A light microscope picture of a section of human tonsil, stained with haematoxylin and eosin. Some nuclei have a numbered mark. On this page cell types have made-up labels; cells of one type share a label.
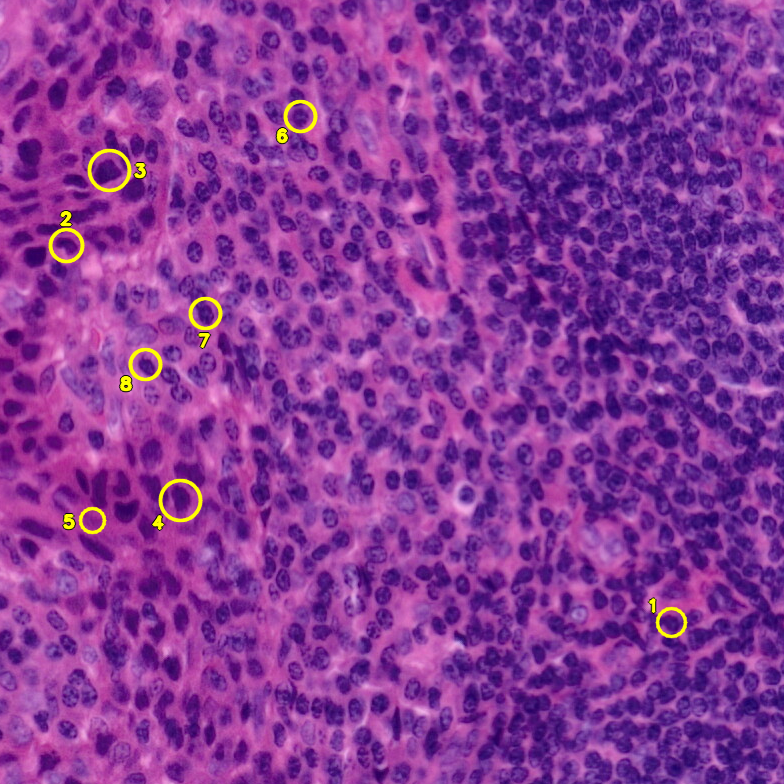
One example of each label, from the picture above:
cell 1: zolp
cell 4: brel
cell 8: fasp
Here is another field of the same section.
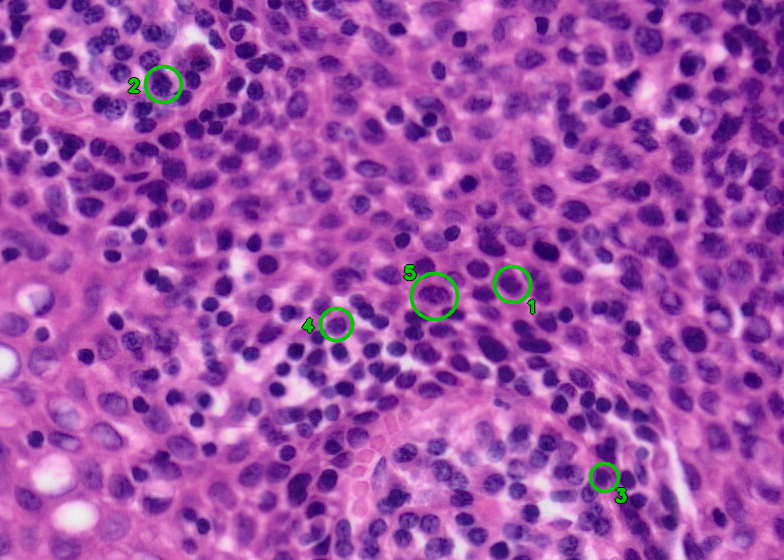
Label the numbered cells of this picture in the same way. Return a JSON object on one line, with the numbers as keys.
{"1": "brel", "2": "fasp", "3": "fasp", "4": "fasp", "5": "brel"}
